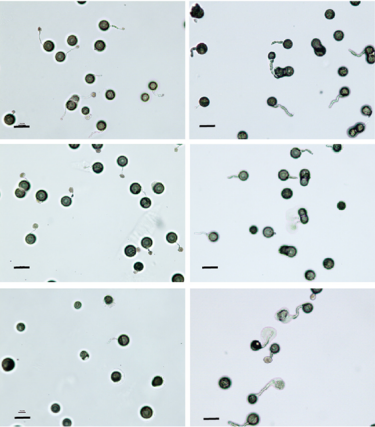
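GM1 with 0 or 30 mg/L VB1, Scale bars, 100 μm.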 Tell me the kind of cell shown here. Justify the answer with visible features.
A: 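Many round, dark, thick-walled grains scattered singly. Some grains extend a long thin tube. So: Pollen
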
